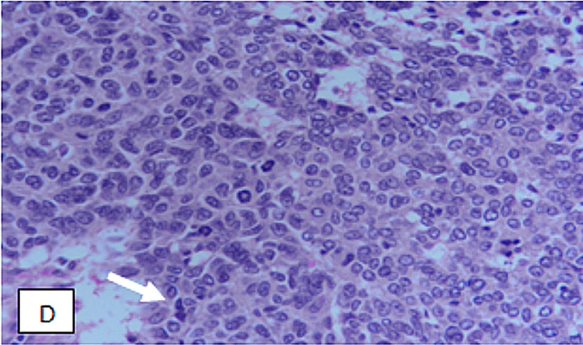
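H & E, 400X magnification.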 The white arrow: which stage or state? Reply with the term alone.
Mitosis.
